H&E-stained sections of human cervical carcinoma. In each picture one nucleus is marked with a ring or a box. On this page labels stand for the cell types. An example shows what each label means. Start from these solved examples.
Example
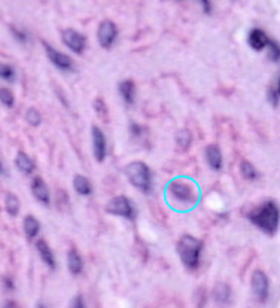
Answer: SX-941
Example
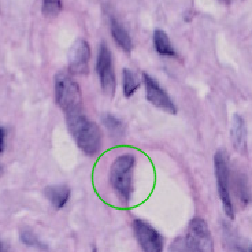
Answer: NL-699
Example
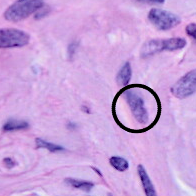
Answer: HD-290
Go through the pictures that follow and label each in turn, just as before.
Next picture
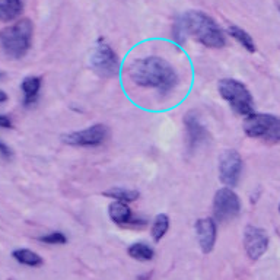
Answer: HD-290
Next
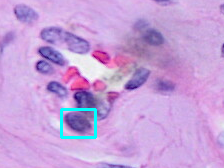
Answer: NL-699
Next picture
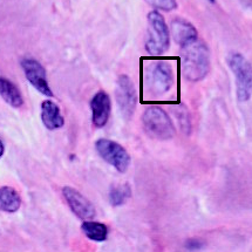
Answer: NL-699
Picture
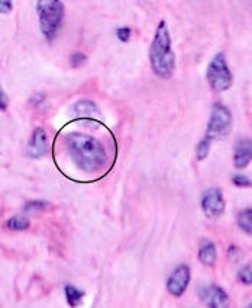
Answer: NL-699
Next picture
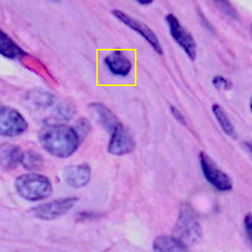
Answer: HD-290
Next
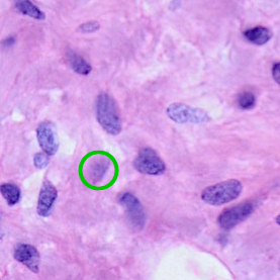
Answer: HD-290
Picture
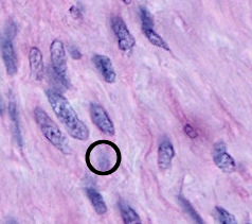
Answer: SX-941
